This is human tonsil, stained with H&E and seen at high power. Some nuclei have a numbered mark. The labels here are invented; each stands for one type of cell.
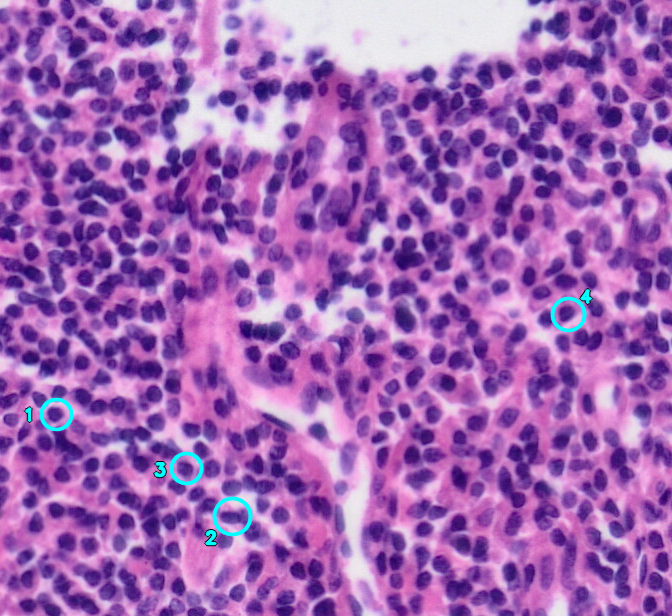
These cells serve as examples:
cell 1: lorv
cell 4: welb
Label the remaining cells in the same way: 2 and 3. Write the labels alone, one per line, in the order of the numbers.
lorv
lorv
